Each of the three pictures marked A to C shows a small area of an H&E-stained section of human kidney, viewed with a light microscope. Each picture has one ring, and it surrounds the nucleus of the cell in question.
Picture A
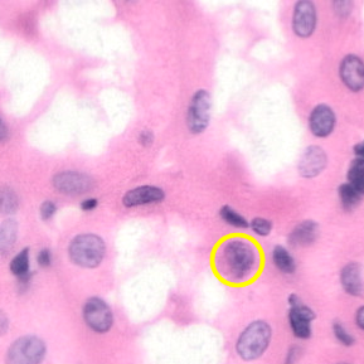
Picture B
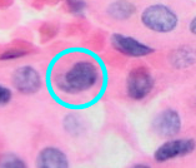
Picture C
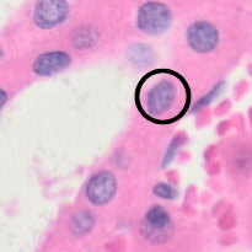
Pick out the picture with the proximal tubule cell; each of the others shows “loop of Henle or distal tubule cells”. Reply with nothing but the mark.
A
